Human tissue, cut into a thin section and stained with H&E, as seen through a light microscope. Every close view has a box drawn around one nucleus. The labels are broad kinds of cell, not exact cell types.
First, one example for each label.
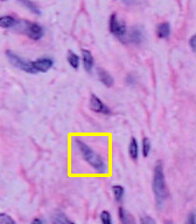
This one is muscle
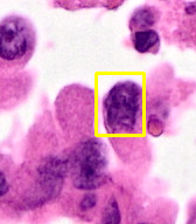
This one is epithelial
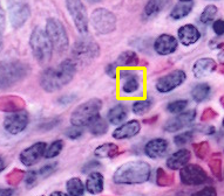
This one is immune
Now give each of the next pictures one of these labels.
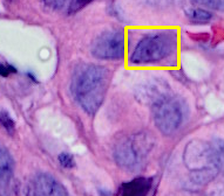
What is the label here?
epithelial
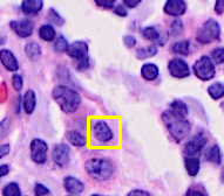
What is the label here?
immune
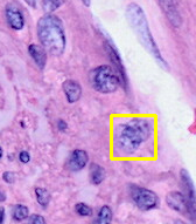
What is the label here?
muscle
